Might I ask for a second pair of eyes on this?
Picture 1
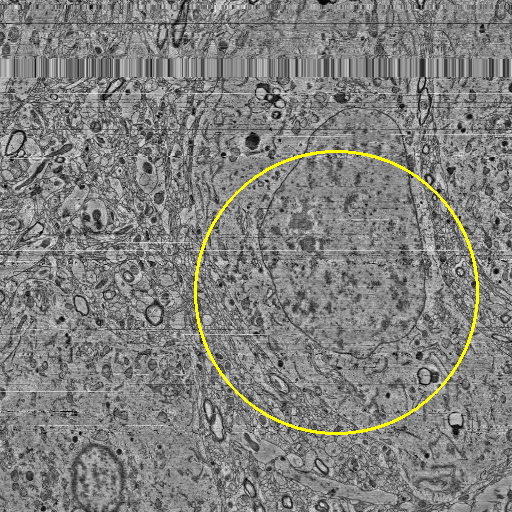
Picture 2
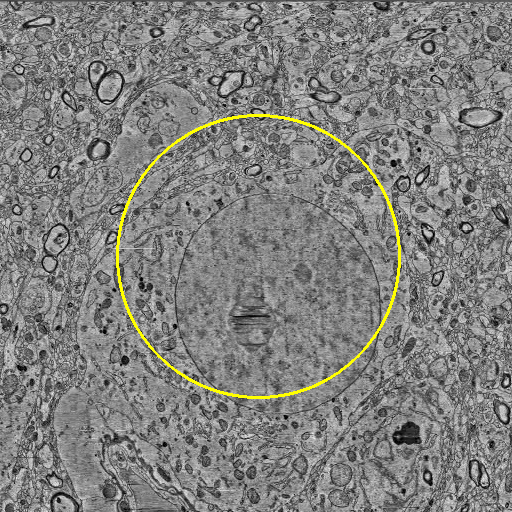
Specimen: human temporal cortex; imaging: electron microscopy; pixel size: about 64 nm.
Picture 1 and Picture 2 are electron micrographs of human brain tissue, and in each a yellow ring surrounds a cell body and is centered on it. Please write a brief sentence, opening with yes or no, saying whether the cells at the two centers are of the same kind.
No, the cells are of two kinds.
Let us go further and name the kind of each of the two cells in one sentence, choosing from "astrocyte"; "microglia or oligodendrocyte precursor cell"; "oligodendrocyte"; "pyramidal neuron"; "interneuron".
The ring of the first picture is on a pyramidal neuron, the ring of the second on an interneuron.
